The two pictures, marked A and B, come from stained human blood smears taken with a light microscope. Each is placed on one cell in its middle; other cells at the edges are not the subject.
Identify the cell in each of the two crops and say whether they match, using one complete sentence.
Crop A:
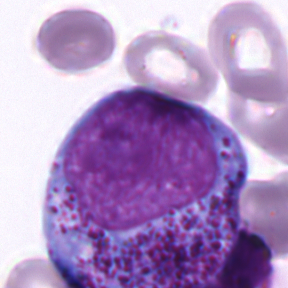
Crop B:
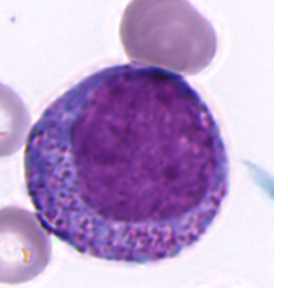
Yes, in the two crops, promyelocytes are the cells at the centre.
